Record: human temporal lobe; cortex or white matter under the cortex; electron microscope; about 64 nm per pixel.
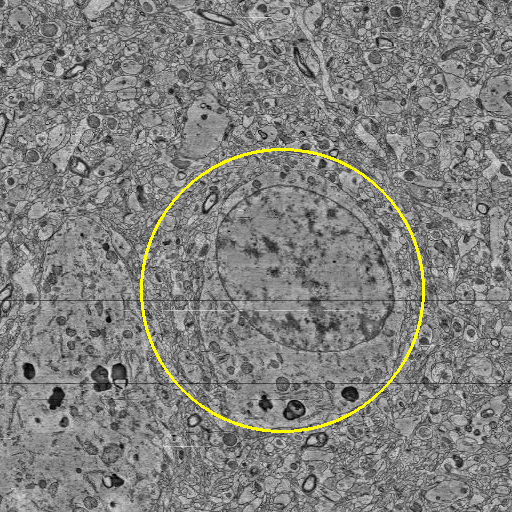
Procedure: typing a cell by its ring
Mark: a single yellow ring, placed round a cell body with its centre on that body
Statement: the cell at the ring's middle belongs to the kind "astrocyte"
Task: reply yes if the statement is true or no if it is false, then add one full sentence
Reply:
No, this is false: the cell at the ring's centre in the picture belongs to some other kind.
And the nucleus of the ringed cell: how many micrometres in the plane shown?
The nucleus has a long axis of about 12 micrometres and a short axis of about 10 micrometres in this plane.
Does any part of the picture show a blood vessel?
No, there is no blood vessel in the image.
